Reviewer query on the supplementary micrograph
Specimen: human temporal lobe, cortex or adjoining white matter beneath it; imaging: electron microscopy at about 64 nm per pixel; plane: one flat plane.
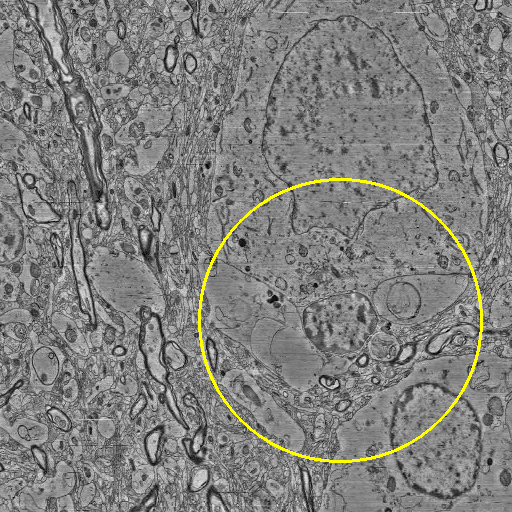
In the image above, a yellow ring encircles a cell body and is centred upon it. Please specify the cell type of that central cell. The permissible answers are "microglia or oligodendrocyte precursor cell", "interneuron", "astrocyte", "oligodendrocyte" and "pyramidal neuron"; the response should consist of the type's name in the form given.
microglia or oligodendrocyte precursor cell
